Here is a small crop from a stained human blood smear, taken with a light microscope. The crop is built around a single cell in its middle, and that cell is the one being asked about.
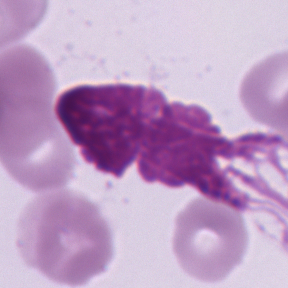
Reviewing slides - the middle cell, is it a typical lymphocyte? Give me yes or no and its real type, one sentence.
No, the cell at the centre is a smudge cell, which rules out a typical lymphocyte.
